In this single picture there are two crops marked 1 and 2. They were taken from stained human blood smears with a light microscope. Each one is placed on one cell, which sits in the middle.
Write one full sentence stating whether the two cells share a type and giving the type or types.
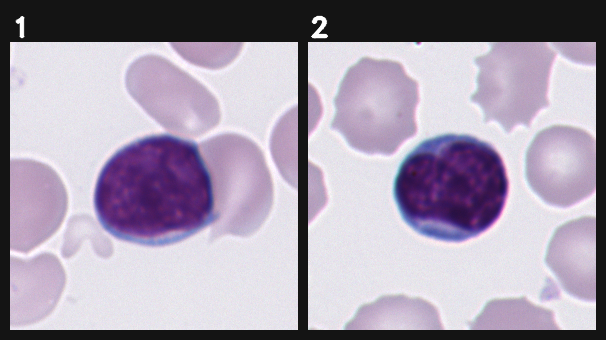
Yes, the two crops show typical lymphocytes at their centres.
